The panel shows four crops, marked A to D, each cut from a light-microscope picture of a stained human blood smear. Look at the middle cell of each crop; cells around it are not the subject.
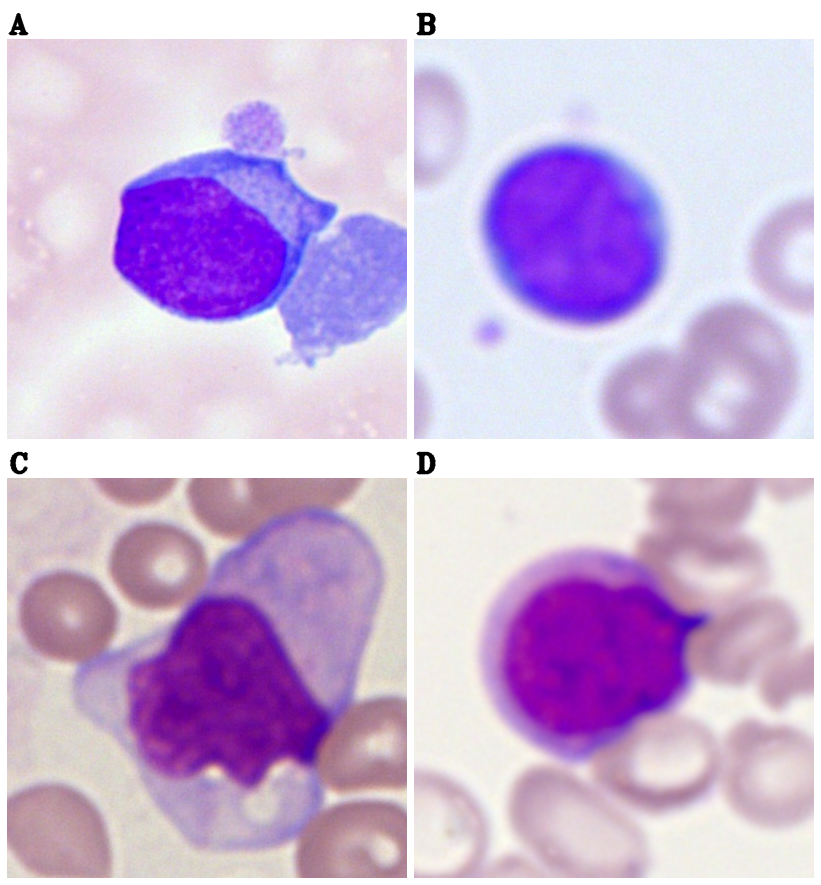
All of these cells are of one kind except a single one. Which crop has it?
C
